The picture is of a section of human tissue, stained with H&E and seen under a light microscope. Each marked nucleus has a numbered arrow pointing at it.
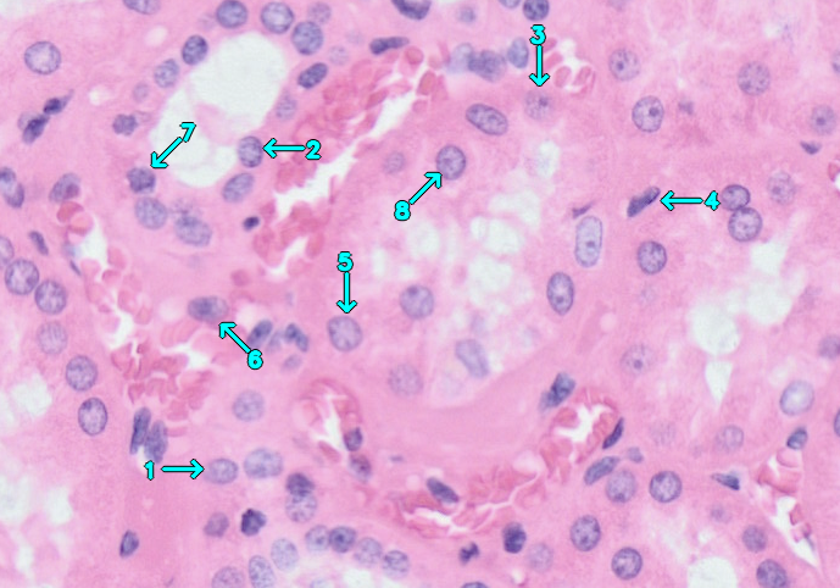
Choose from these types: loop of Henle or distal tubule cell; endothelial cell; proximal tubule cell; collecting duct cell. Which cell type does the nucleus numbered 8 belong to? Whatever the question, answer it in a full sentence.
In this section, the cell numbered 8 is a proximal tubule cell.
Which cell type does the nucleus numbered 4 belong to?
The cell referred to as 4 is an endothelial cell.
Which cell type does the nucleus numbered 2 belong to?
The cell that carries the label 2 is a loop of Henle or distal tubule cell.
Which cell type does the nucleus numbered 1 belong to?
Nucleus 1 in this section belongs to a collecting duct cell.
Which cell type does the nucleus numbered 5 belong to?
The cell pointed out as number 5 is a proximal tubule cell.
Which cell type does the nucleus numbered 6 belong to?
At number 6, the marked cell is an endothelial cell.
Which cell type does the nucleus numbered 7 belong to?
The identity of cell 7 is that of a loop of Henle or distal tubule cell.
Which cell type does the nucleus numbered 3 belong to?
Denoted by the label 3 in the section is a proximal tubule cell.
